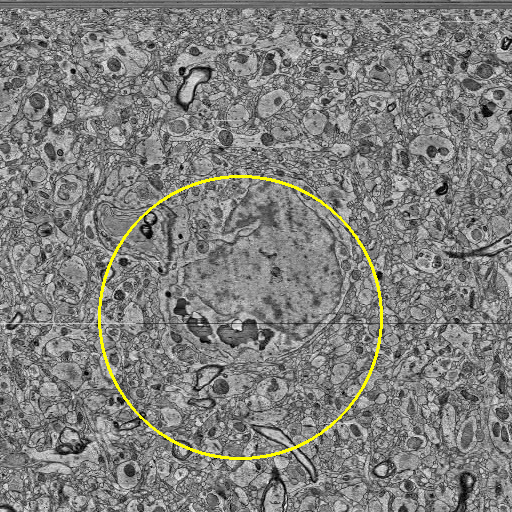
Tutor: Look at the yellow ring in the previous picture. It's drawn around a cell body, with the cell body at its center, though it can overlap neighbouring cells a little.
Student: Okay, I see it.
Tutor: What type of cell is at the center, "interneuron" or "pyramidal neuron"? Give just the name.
interneuron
